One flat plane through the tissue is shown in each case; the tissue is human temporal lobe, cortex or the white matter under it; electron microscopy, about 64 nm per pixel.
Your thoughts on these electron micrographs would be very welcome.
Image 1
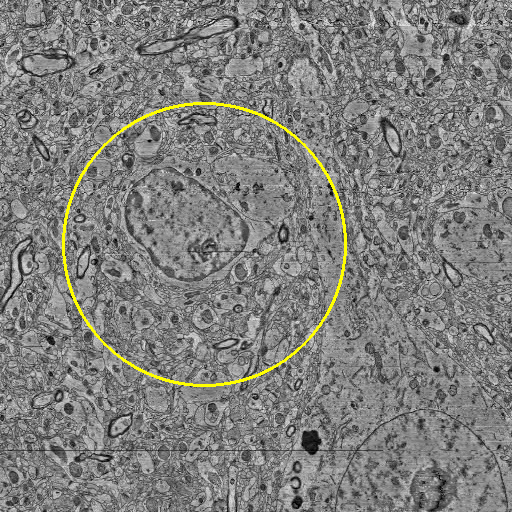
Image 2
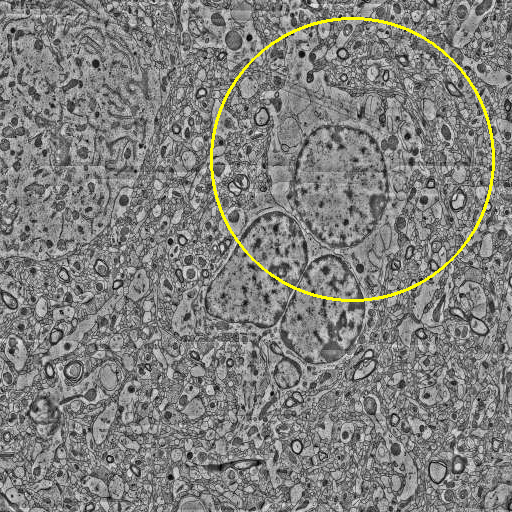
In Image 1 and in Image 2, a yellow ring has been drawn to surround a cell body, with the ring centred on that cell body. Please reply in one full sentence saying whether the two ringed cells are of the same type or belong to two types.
The ringed cells in Image 1 and Image 2 belong to two types.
